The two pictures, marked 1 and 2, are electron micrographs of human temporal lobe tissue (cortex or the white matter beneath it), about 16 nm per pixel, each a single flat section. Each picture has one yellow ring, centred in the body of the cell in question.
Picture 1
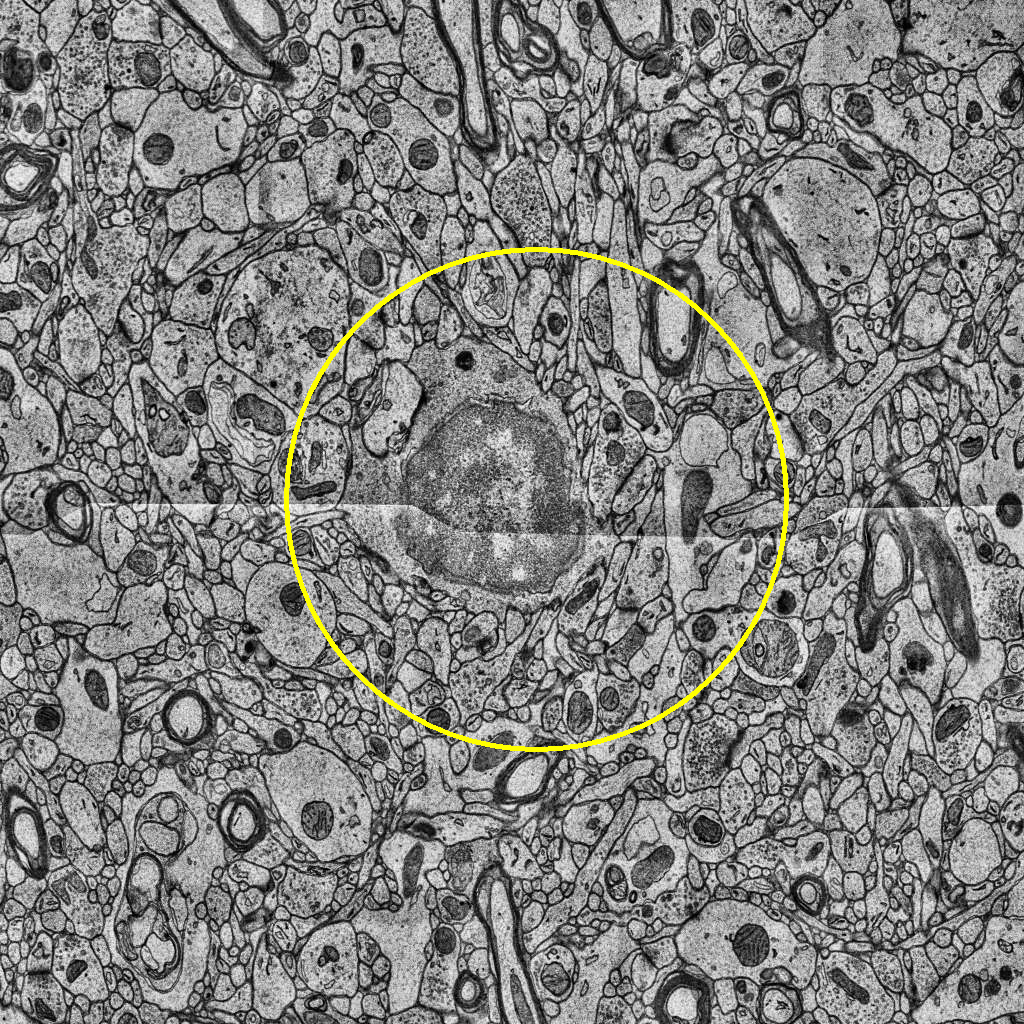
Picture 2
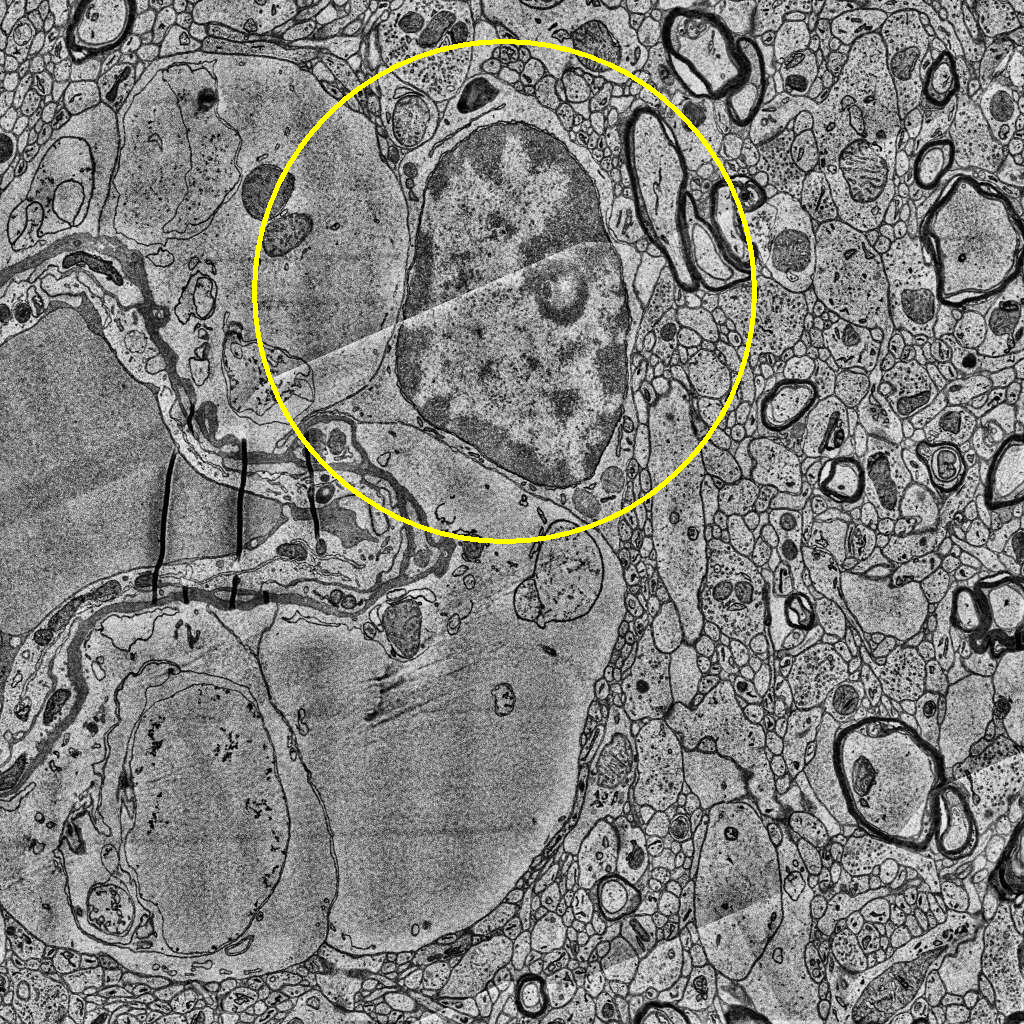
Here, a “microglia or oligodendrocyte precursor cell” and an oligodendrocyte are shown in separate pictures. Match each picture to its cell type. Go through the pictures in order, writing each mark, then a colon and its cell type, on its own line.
1: oligodendrocyte
2: microglia or oligodendrocyte precursor cell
